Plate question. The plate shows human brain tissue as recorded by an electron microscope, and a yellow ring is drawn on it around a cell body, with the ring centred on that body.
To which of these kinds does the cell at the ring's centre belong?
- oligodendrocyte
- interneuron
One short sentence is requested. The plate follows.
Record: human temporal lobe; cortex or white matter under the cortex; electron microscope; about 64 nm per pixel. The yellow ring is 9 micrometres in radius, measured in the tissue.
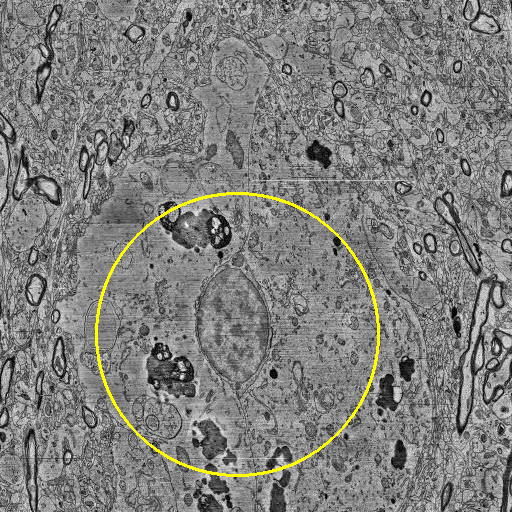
The cell at the ring's centre is an oligodendrocyte.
